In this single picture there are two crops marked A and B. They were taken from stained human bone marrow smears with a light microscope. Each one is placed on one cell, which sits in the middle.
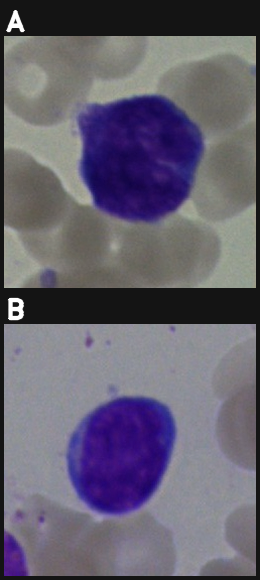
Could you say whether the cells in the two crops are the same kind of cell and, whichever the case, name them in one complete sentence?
No, a blast lies at the centre of crop A, and a lymphocyte lies at the centre of crop B.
